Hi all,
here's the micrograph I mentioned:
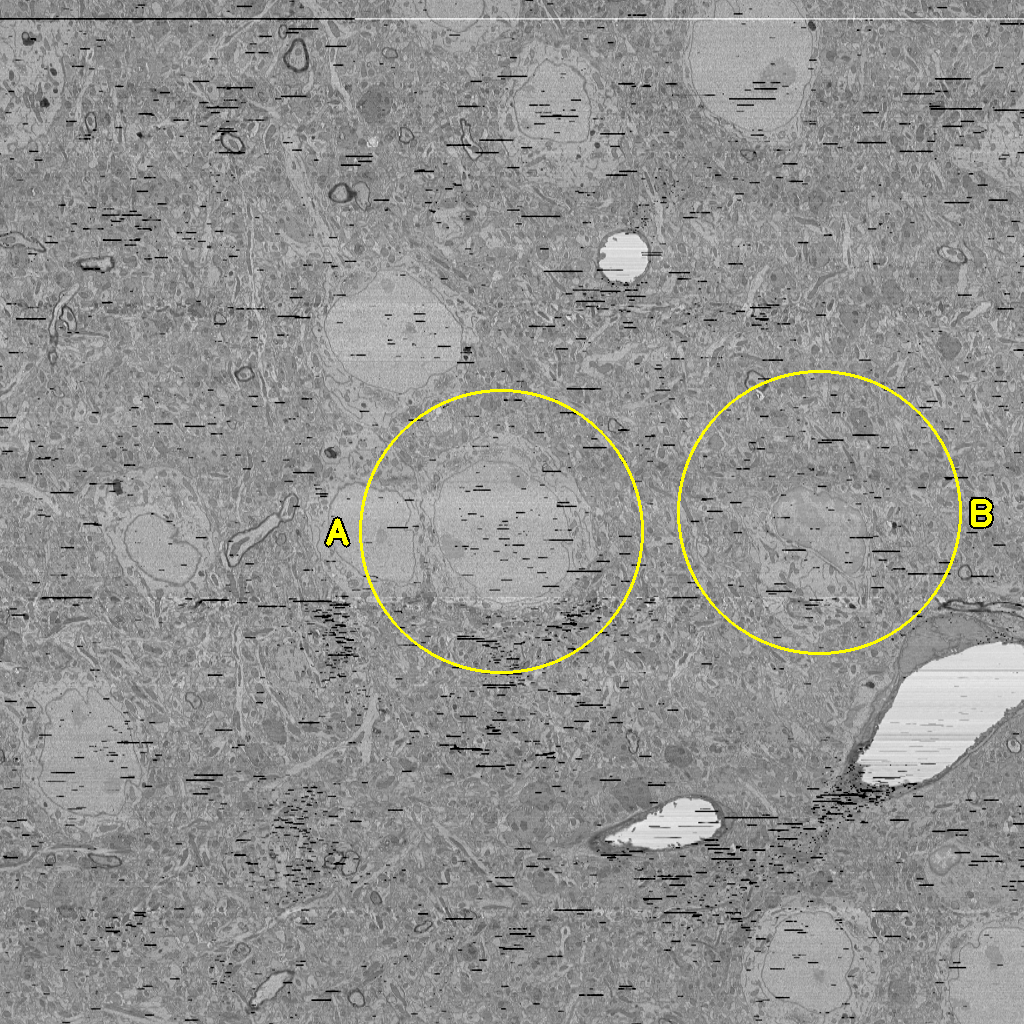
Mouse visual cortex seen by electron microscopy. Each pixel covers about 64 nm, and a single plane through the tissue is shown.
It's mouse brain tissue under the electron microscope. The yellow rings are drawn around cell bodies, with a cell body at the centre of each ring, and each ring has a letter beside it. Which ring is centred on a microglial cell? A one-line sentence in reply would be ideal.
It's the one labelled B.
